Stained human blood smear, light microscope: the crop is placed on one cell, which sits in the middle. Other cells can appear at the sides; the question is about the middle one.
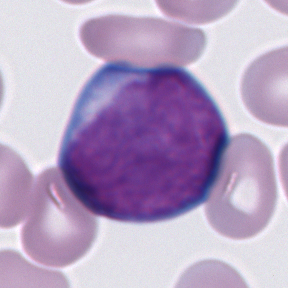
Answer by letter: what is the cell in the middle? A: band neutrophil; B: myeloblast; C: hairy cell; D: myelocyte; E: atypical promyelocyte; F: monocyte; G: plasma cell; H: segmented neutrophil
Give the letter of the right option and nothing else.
B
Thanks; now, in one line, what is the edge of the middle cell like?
The outline traces a smooth curve with no projections along it.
